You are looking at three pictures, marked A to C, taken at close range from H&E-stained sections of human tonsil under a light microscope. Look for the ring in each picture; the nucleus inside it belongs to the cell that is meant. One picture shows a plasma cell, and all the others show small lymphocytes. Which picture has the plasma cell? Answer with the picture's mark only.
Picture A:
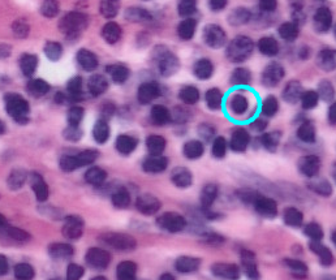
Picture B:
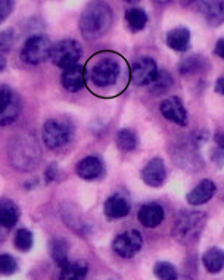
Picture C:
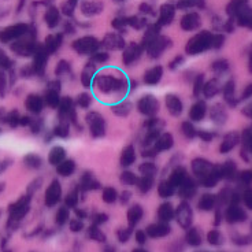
B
